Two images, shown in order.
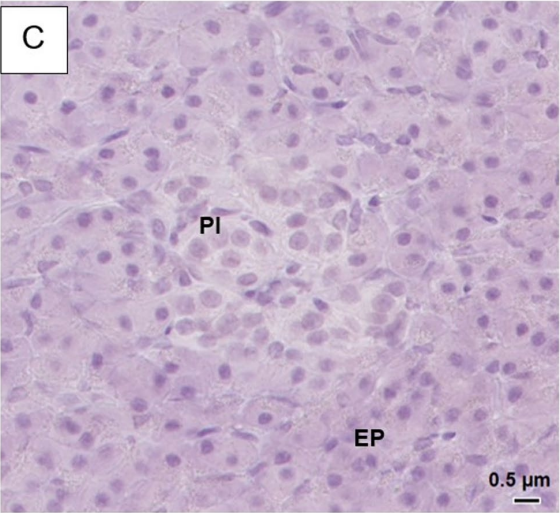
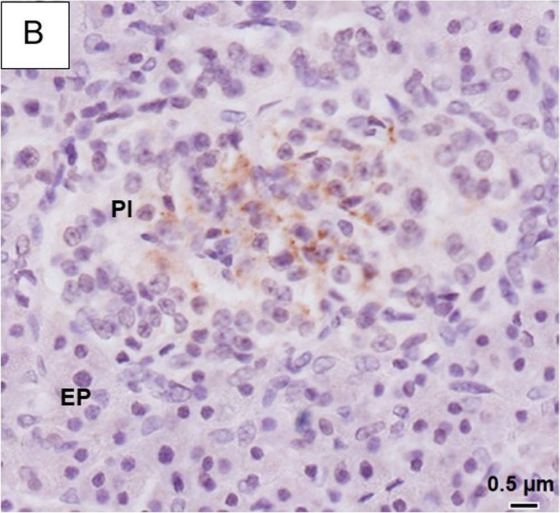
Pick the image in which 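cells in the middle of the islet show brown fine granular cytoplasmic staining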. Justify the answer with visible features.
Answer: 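First image: islet and surrounding cells are stained only blue-purple with no brown deposits. Second image: brown granular deposits lie in the cytoplasm of cells at the centre of the islet. The answer: the second image.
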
